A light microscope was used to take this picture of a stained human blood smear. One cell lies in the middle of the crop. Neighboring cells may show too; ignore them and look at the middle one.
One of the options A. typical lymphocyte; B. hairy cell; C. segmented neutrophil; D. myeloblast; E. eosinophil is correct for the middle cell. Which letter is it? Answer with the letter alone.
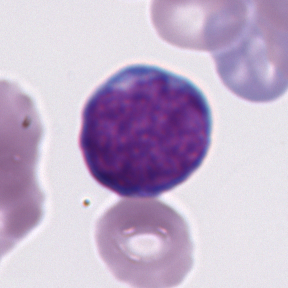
D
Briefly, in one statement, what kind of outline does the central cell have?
Its periphery is smooth, and no projections arise from it.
